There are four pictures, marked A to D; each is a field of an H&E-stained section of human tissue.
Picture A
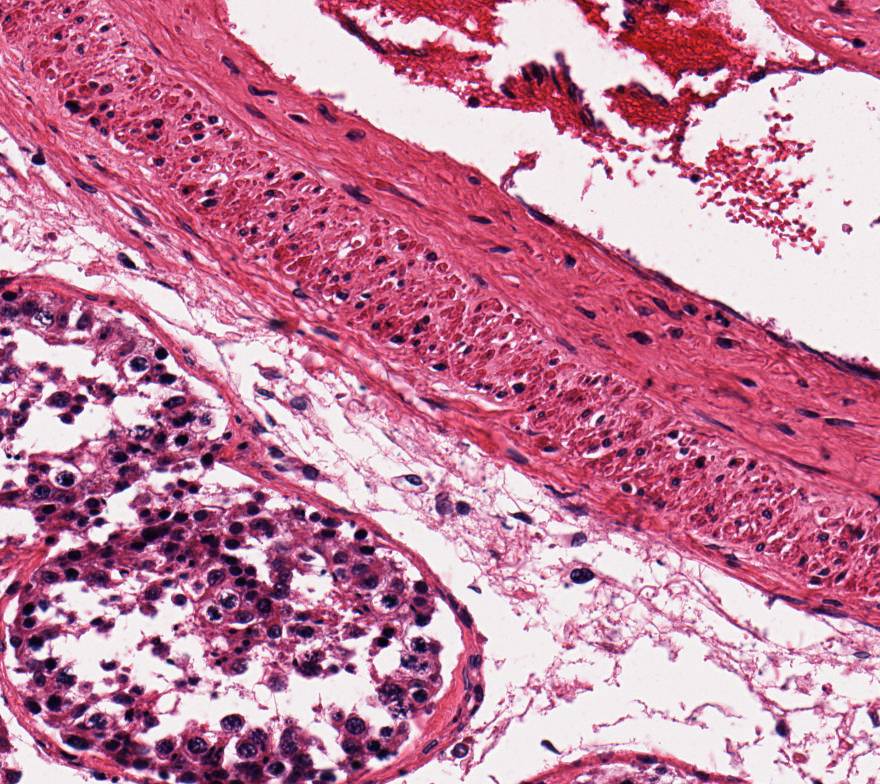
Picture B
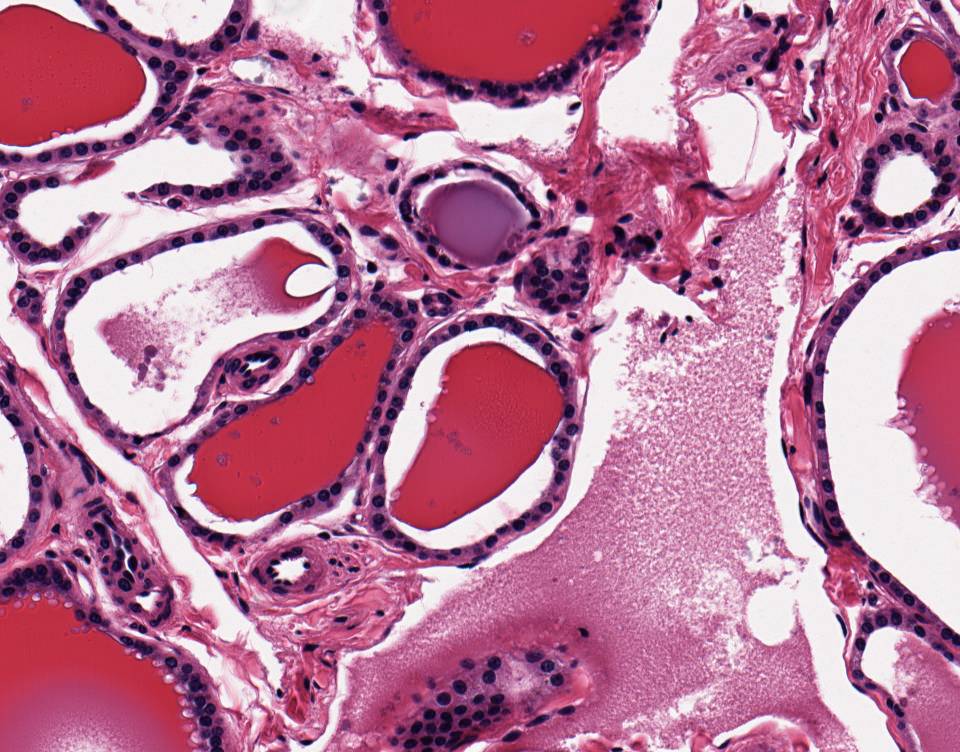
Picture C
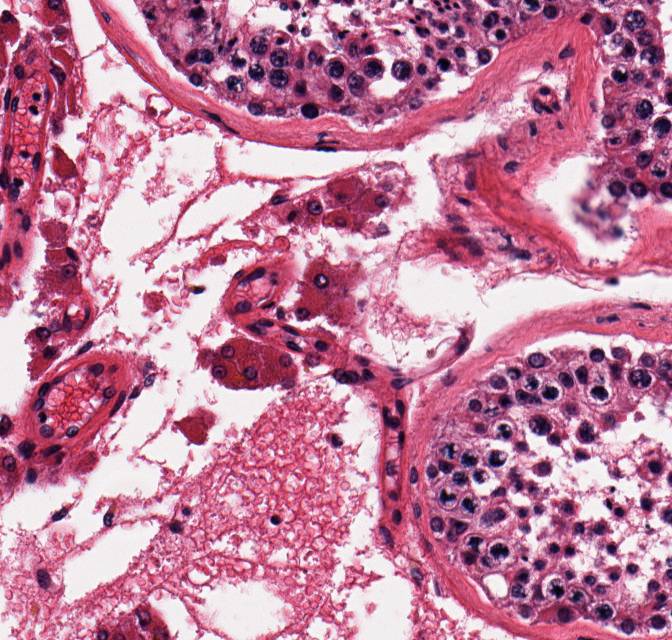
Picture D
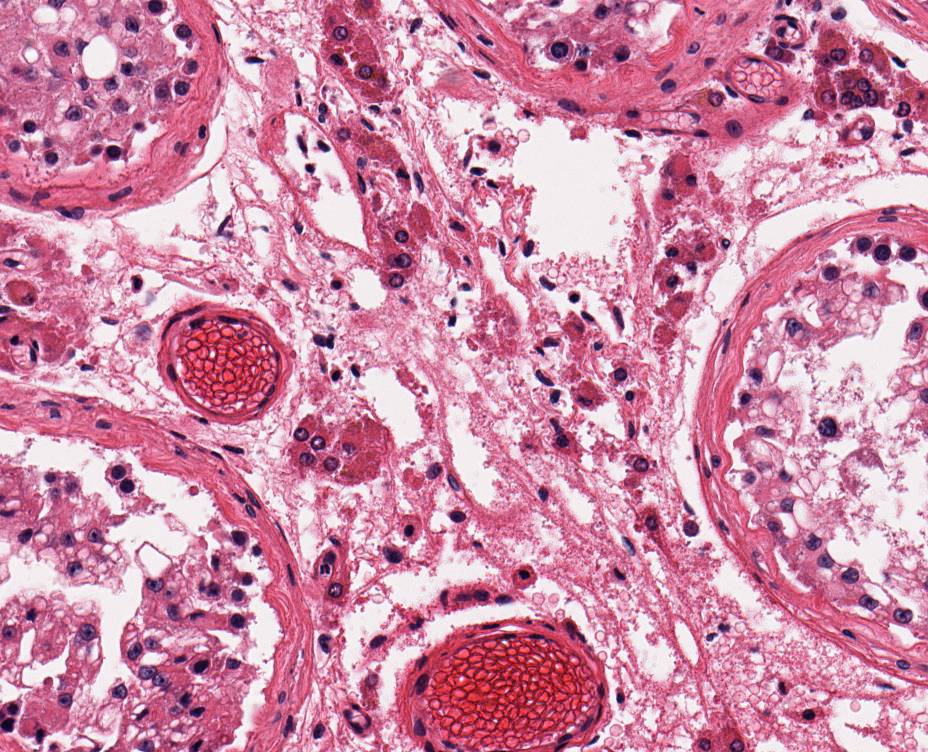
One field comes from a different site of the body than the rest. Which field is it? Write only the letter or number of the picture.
B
